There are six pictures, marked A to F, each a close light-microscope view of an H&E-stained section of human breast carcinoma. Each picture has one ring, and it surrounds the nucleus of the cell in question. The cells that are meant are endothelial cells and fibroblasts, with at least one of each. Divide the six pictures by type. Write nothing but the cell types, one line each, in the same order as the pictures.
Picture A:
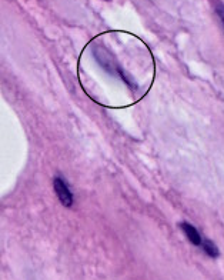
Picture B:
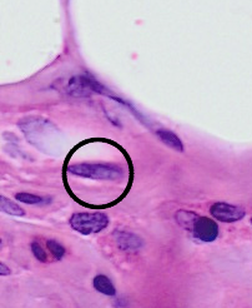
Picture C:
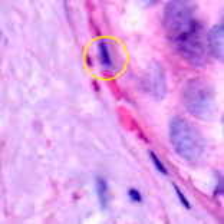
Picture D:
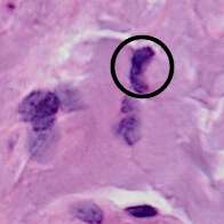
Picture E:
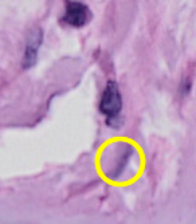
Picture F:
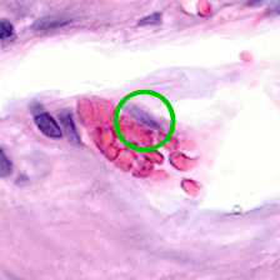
fibroblast
endothelial cell
endothelial cell
fibroblast
fibroblast
endothelial cell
